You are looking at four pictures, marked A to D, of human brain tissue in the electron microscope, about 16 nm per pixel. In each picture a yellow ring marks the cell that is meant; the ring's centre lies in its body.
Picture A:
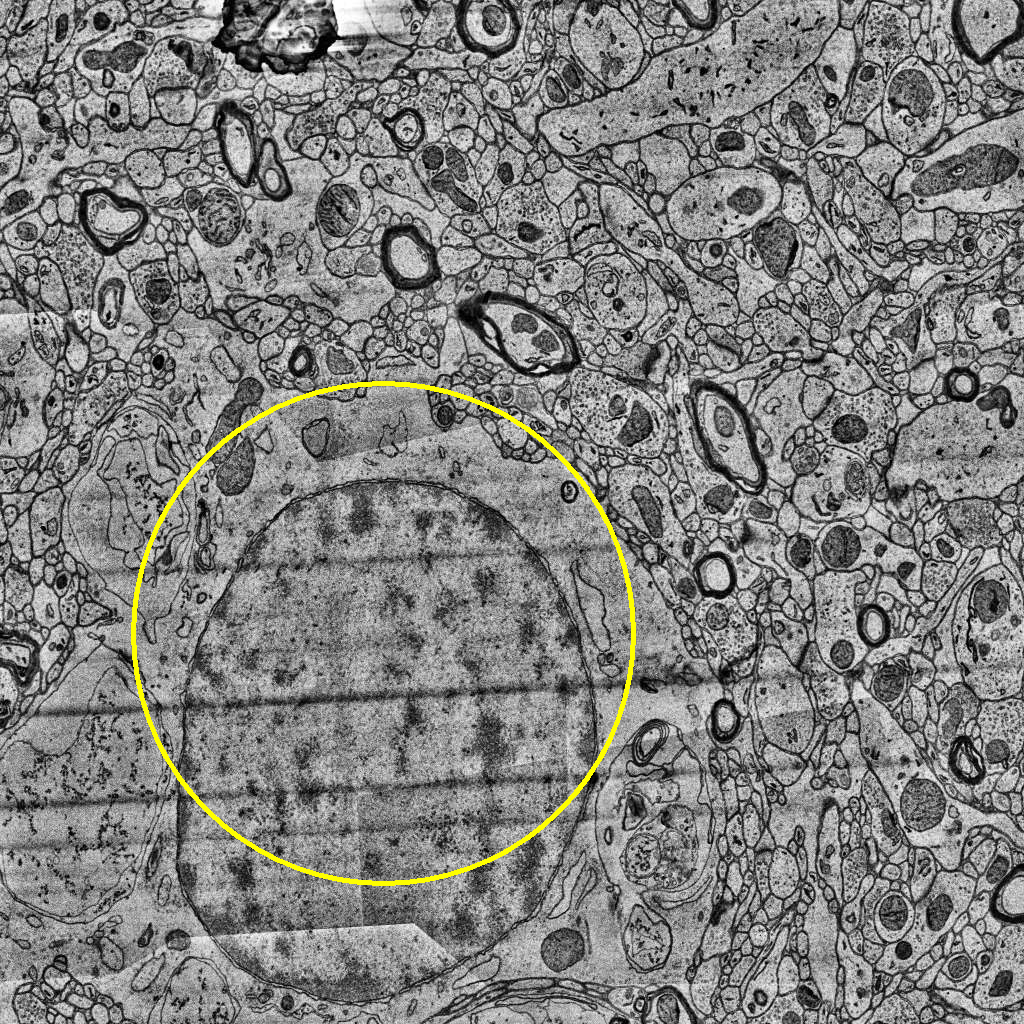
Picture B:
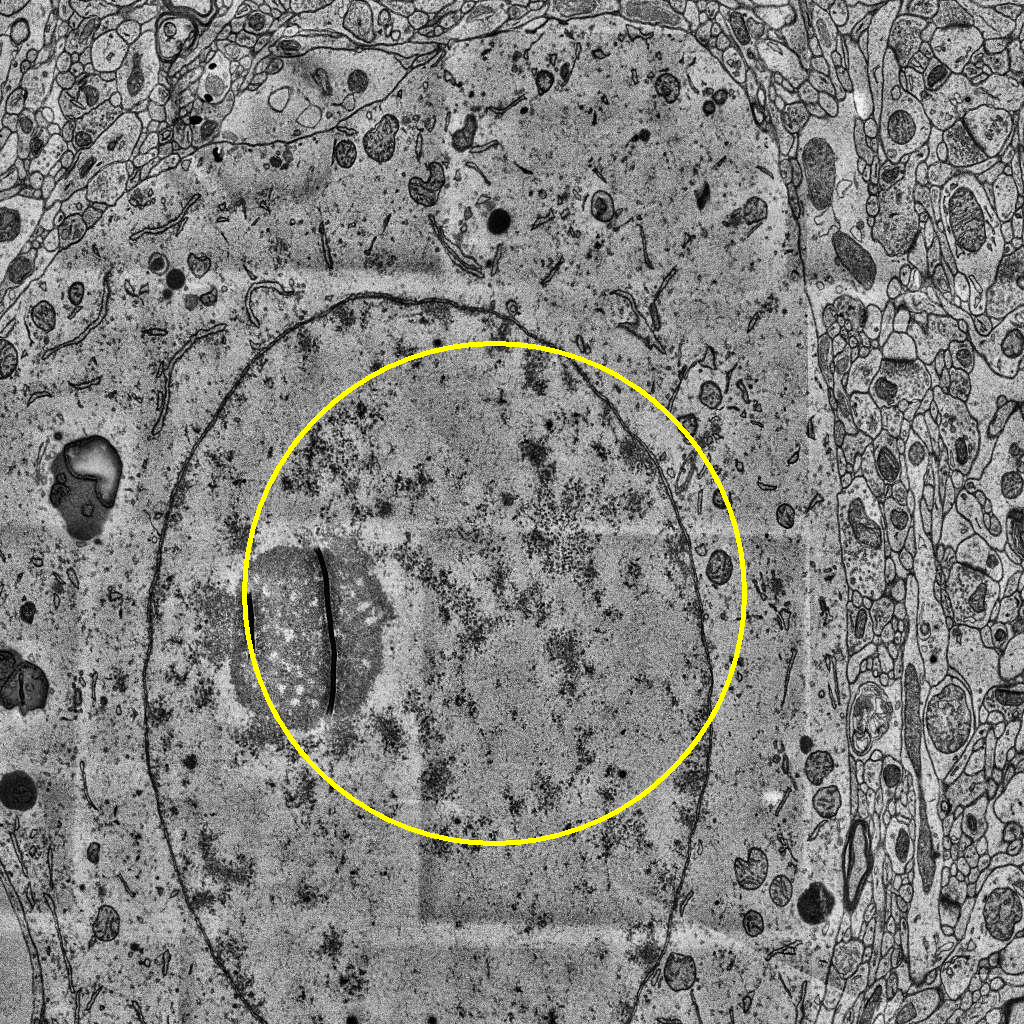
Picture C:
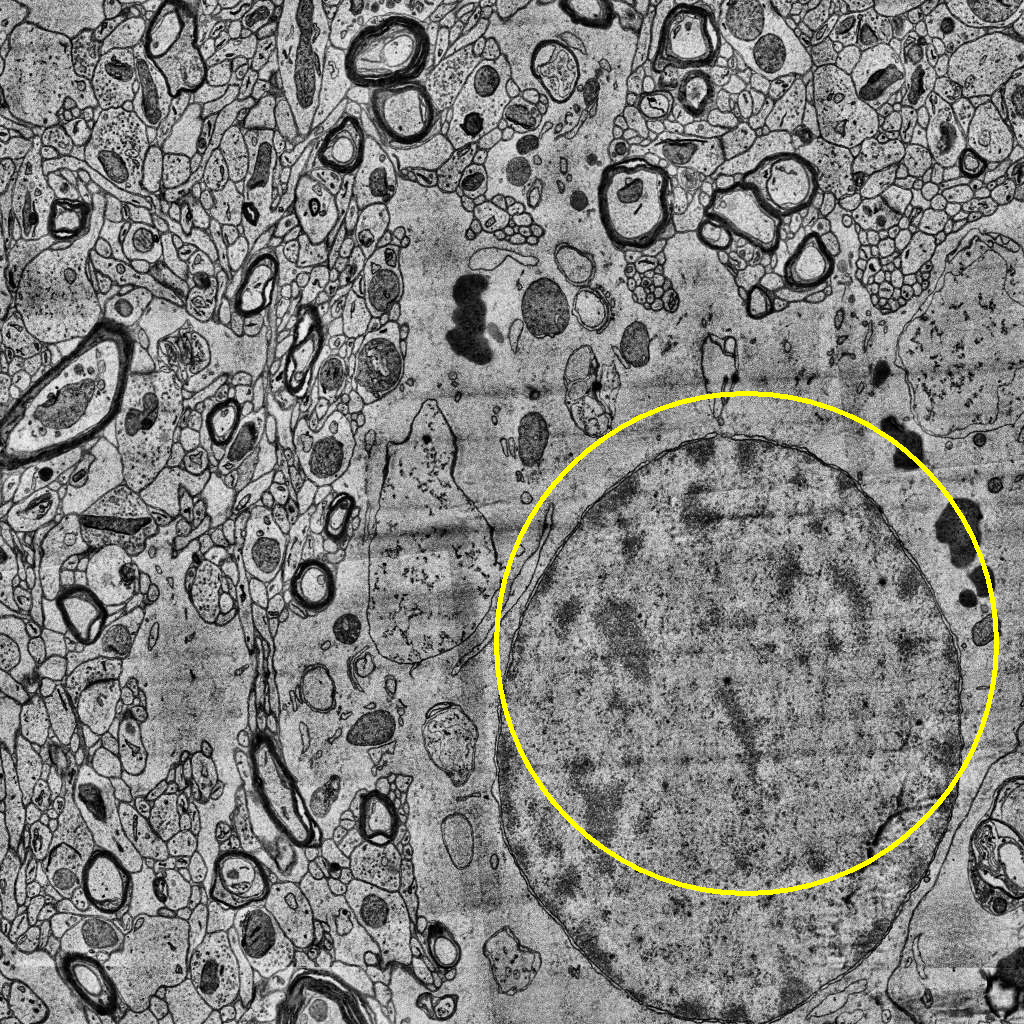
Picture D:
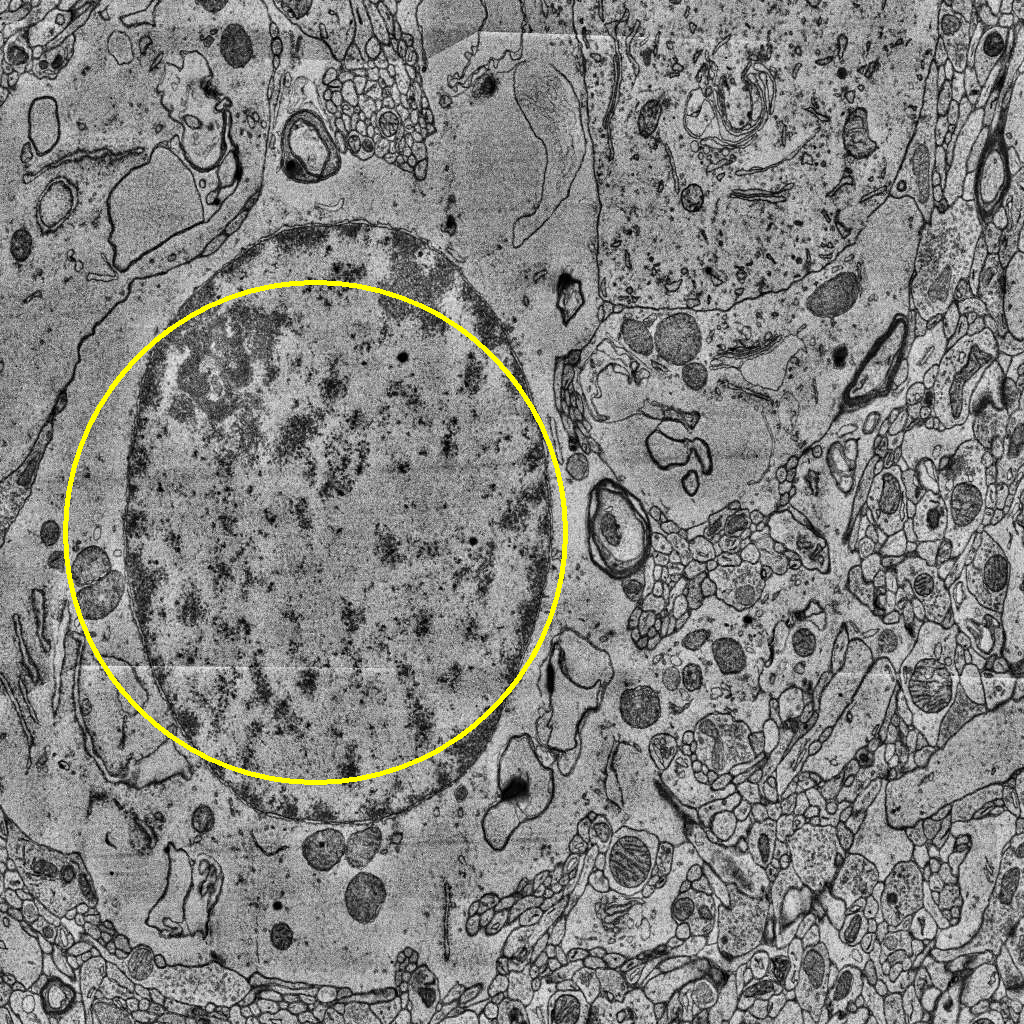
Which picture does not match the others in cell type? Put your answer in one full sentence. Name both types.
Picture B differs, because its cell is a pyramidal neuron and the rest are astrocytes.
